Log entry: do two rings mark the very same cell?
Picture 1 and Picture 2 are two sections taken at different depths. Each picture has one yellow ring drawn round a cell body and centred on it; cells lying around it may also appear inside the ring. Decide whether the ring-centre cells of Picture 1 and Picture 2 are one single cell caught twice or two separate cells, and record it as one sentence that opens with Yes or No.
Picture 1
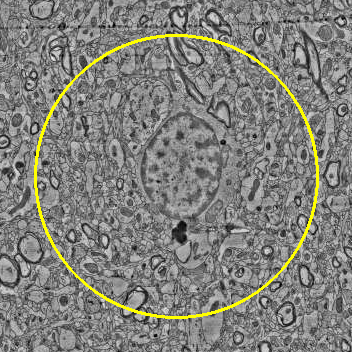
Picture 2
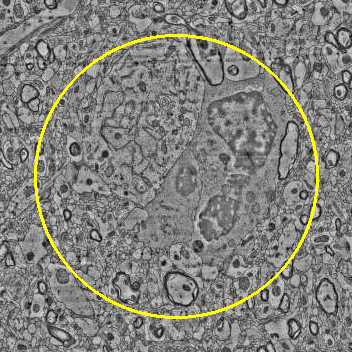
Yes, the two marked outlines come from one and the same cell.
